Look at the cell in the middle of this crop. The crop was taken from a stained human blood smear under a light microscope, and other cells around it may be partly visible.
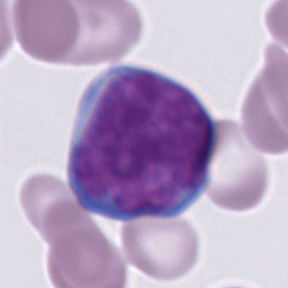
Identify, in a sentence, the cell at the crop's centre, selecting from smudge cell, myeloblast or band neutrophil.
The cell positioned in the middle of the field is a myeloblast.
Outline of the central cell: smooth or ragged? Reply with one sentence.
Its periphery is smooth, and no projections arise from it.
